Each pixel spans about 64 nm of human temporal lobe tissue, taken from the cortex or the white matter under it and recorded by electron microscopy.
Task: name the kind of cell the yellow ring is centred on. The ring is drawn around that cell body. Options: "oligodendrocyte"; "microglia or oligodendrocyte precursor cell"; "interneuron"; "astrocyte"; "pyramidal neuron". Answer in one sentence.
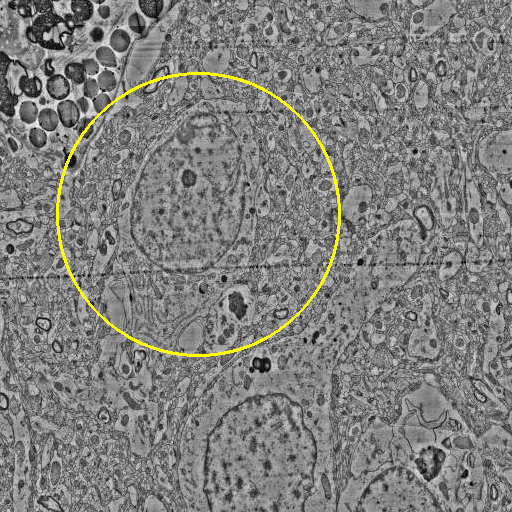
This cell body belongs to an interneuron.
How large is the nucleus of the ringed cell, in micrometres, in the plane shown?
In this plane the nucleus is about 10 micrometres by 7.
